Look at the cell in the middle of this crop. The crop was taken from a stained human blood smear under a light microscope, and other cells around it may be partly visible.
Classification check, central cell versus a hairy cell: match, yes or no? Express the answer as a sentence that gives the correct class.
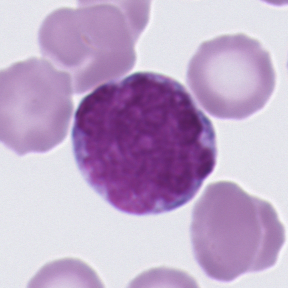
No, the cell of interest here is a myeloblast and not a hairy cell.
